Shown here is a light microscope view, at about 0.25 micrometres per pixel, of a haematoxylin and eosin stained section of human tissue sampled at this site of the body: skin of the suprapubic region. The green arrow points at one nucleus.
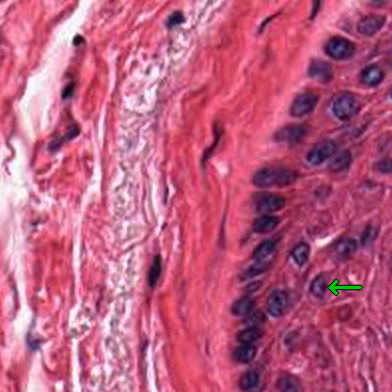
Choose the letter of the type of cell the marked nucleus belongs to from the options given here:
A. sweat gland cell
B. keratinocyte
B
